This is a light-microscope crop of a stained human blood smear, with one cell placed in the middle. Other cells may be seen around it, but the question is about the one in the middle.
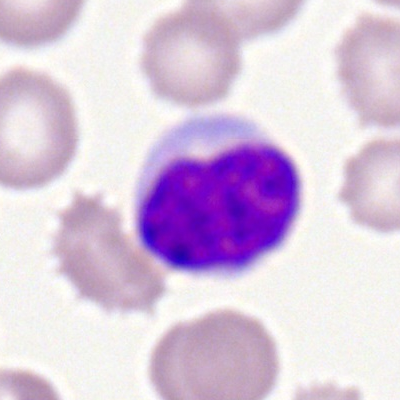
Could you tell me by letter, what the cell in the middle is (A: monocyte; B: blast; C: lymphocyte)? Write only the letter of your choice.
C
